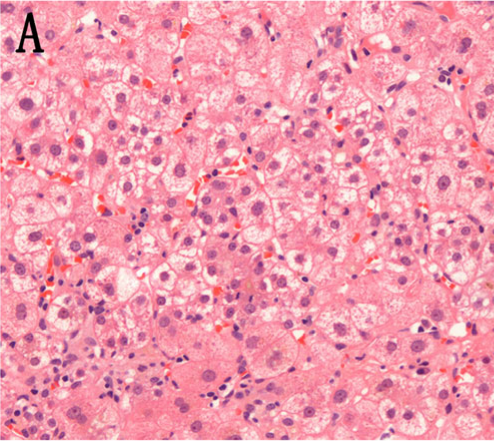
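This is liver parenchyma in which the hepatocytes are swollen, with pale, foamy cytoplasm filled with many tiny clear vacuoles, the picture of microvesicular steatosis. The nuclei are round, often with a visible nucleolus, and remain central in the cells. Narrow sinusoids with red blood cells and small dark nuclei run between the hepatocyte cords.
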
